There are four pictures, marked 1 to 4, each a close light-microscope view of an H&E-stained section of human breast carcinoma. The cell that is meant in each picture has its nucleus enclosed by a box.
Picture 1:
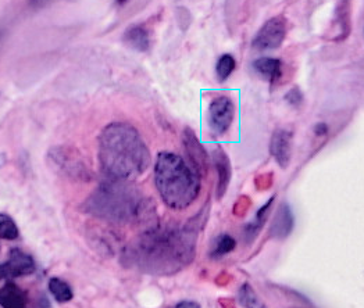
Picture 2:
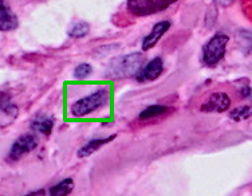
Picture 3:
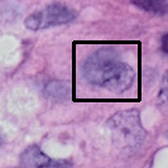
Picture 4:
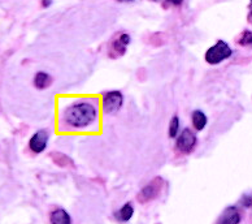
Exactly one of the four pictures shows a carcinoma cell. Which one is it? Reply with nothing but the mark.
3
